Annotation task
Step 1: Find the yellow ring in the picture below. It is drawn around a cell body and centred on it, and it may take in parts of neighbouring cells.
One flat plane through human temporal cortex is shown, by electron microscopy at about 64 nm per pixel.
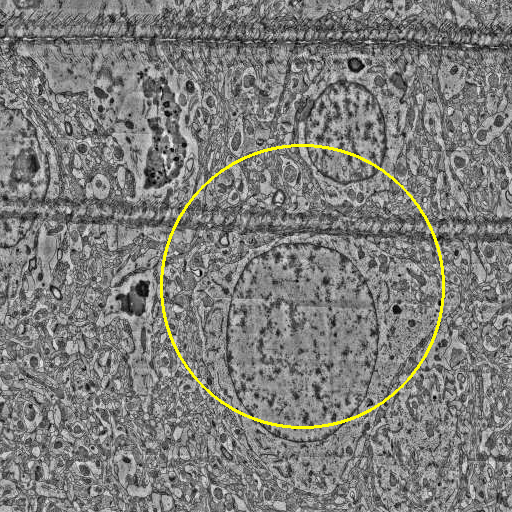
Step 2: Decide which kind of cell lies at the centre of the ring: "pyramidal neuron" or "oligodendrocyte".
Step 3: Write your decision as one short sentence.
The kind of cell at the ring's centre is a pyramidal neuron.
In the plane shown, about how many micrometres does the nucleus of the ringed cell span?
In this plane, the nucleus is roughly 13 by 10 micrometres.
